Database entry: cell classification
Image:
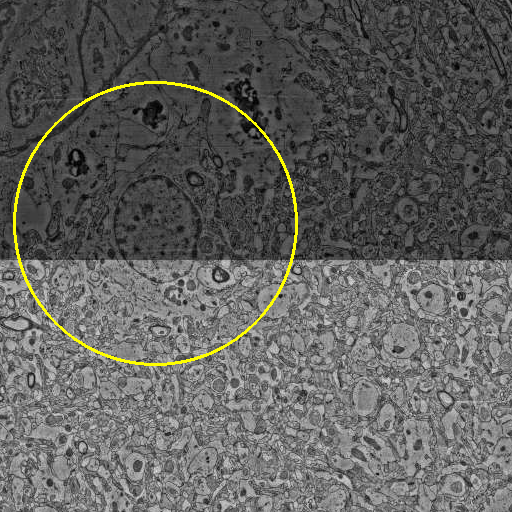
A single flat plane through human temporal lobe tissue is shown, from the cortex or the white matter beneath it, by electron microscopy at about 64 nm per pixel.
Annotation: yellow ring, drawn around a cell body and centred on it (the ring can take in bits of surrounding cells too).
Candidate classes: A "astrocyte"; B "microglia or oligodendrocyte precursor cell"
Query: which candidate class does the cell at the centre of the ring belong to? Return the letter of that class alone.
A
